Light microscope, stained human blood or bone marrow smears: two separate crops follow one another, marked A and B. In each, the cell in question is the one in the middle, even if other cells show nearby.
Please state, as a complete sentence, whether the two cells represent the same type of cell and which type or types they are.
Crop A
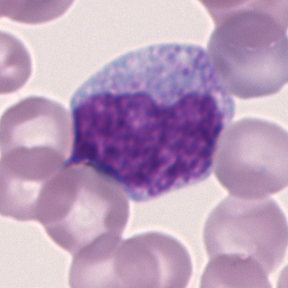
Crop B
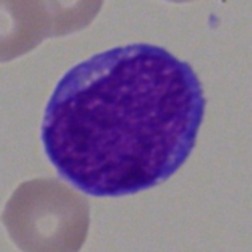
No, crop A is where a myelocyte is shown, and crop B is where a blast is shown.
